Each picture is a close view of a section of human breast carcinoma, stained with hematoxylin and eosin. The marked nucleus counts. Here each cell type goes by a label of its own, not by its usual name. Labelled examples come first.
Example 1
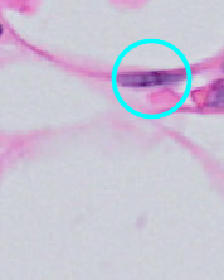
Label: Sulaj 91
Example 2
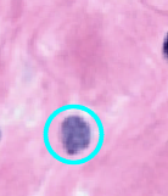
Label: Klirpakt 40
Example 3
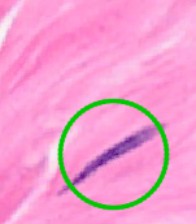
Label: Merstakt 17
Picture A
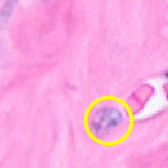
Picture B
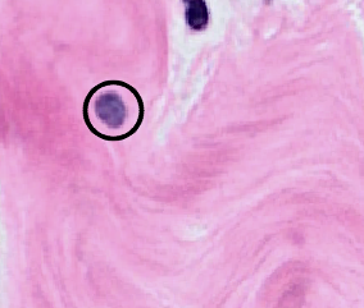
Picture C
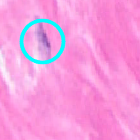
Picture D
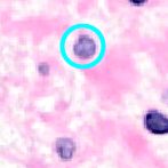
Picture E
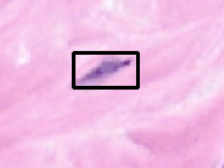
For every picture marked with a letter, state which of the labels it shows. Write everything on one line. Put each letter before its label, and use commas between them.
A Sulaj 91, B Klirpakt 40, C Merstakt 17, D Klirpakt 40, E Merstakt 17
